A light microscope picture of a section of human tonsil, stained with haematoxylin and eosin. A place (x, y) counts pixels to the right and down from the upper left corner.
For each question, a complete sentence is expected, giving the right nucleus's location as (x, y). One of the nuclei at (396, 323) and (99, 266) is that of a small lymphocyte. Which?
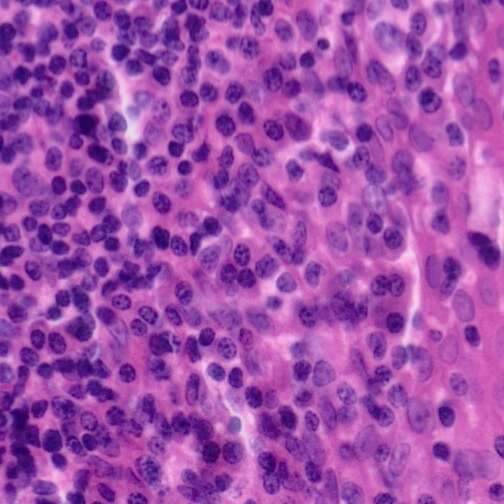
The nucleus that sits at (99, 266) is the nucleus of a small lymphocyte.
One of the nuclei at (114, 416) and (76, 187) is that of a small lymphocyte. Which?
The correct choice is the nucleus at (76, 187), which belongs to a small lymphocyte.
